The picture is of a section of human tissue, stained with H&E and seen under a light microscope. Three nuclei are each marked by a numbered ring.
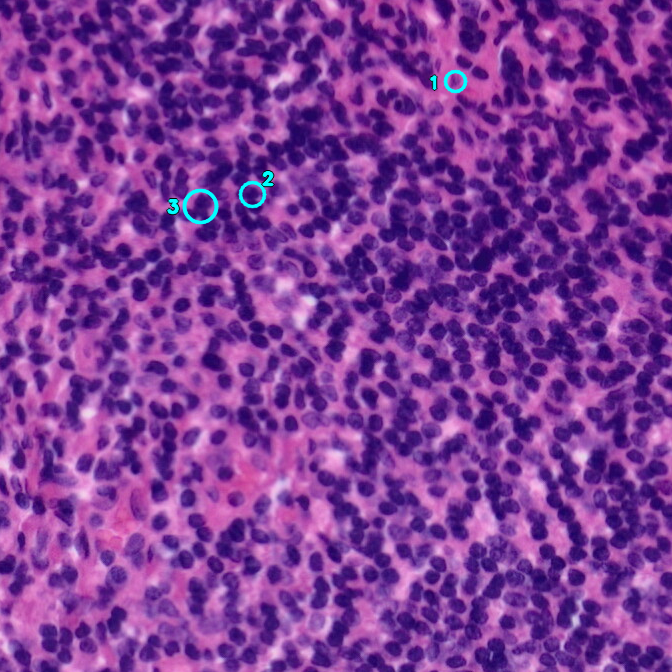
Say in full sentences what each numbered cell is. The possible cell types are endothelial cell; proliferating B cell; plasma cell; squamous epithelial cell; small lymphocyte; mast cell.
Cell 1 is an endothelial cell, cell 2 is a small lymphocyte and cell 3 is a small lymphocyte.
